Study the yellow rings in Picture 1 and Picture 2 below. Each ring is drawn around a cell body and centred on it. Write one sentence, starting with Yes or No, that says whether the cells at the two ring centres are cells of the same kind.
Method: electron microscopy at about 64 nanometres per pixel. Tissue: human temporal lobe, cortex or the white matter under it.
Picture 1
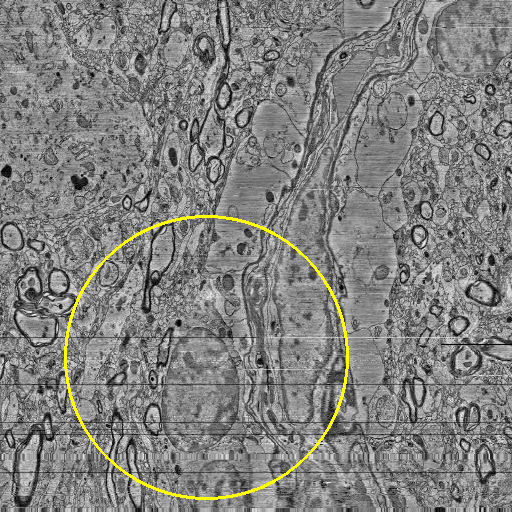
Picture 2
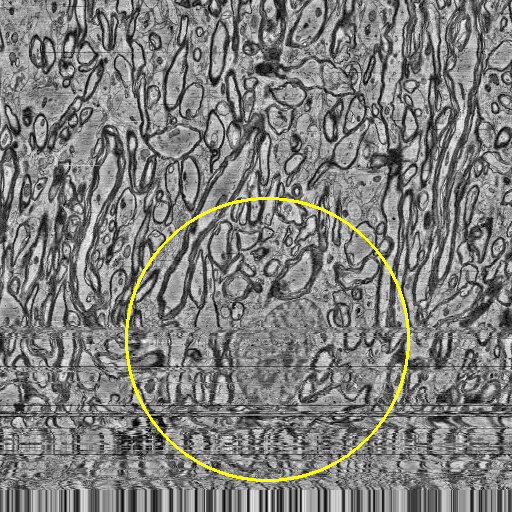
Yes, the cells at both ring centres are of the same kind.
